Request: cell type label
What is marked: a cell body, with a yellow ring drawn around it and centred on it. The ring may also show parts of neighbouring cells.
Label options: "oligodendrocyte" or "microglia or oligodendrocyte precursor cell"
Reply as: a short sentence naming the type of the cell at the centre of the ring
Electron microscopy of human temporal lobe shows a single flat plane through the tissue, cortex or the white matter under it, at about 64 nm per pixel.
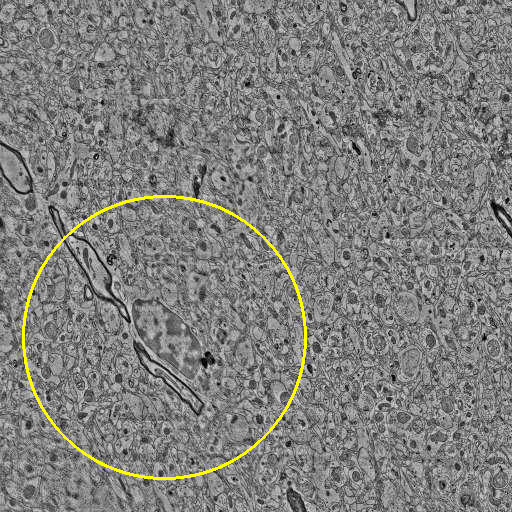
The marked cell body is that of a microglial cell or oligodendrocyte precursor cell.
